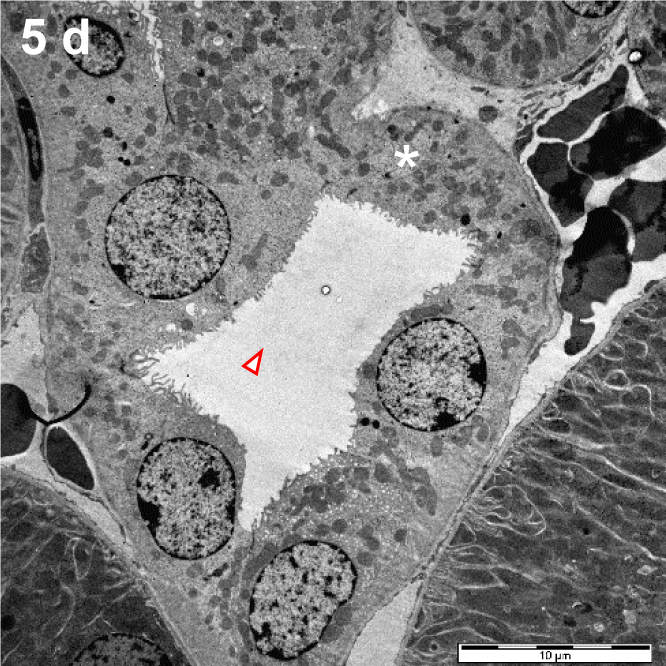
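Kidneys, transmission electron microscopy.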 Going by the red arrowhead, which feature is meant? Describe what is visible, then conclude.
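The arrowhead lies in a large pale, nearly empty space. The space is ringed by epithelial cells whose surface bears short projections.
Conclusion: tubular lumen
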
